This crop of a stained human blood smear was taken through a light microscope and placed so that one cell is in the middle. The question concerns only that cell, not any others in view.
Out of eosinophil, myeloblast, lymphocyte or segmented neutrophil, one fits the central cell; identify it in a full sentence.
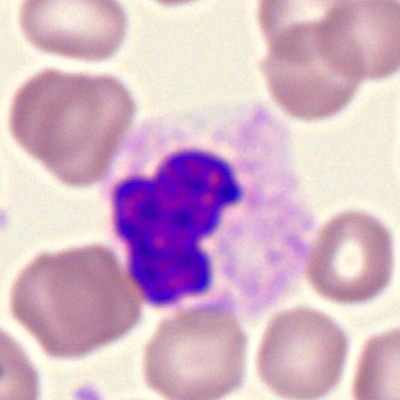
Within this crop, a segmented neutrophil occupies the central position.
